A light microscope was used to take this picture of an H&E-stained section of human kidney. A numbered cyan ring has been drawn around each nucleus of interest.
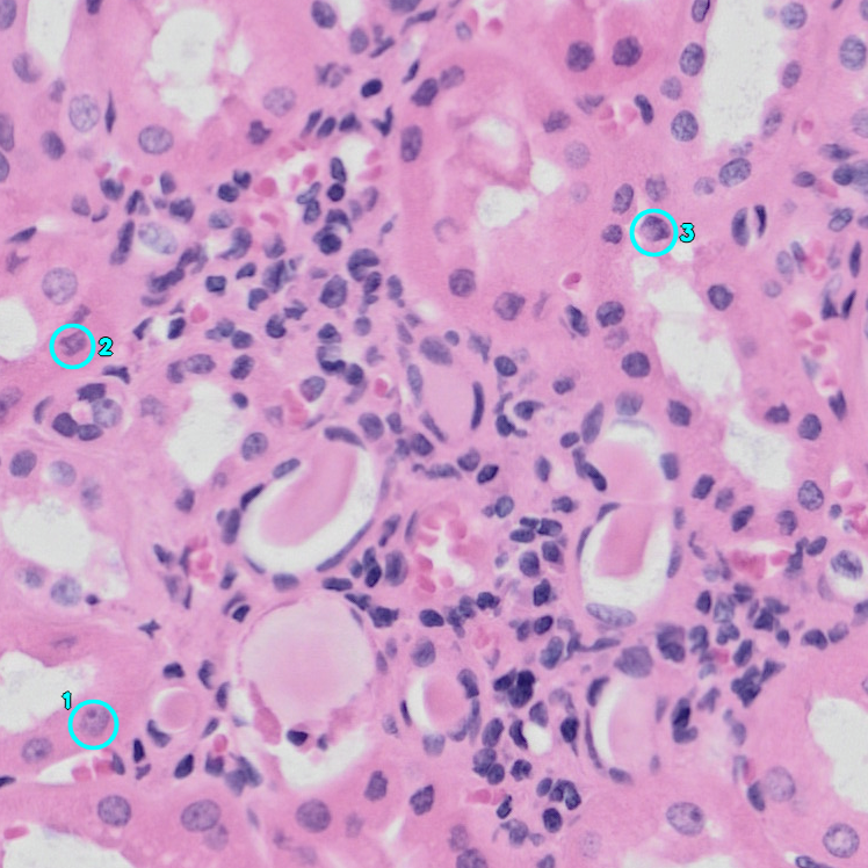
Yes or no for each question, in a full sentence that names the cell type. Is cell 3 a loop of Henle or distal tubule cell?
Yes, cell 3 among the marked cells is a loop of Henle or distal tubule cell.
